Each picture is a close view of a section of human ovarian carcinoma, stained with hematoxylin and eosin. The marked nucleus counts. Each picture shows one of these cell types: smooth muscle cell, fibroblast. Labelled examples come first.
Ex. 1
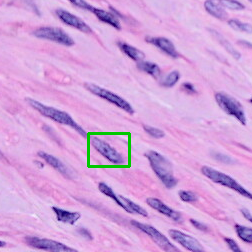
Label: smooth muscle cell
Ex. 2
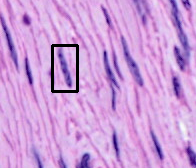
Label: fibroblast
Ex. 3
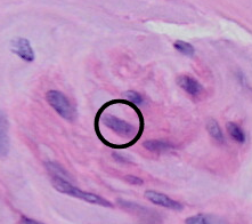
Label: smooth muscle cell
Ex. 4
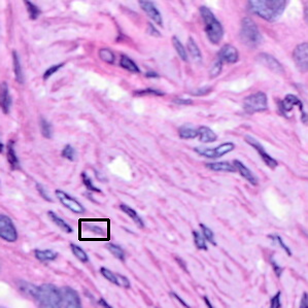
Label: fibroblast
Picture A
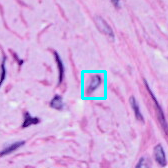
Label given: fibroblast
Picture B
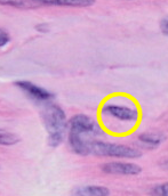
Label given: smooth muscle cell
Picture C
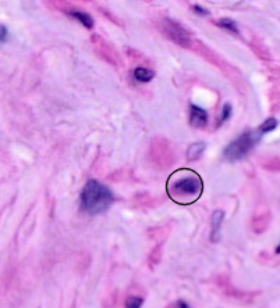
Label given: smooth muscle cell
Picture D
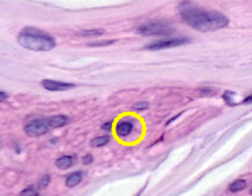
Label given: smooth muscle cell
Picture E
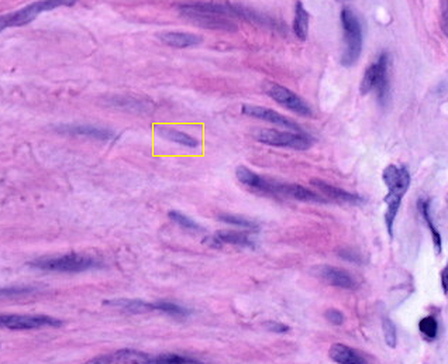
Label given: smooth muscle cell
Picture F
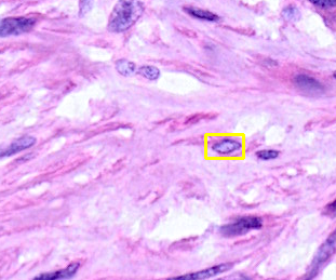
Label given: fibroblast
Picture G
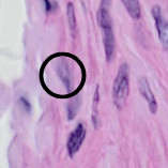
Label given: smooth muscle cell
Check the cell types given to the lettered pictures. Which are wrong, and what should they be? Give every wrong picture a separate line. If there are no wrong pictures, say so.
None of the labels needs changing.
